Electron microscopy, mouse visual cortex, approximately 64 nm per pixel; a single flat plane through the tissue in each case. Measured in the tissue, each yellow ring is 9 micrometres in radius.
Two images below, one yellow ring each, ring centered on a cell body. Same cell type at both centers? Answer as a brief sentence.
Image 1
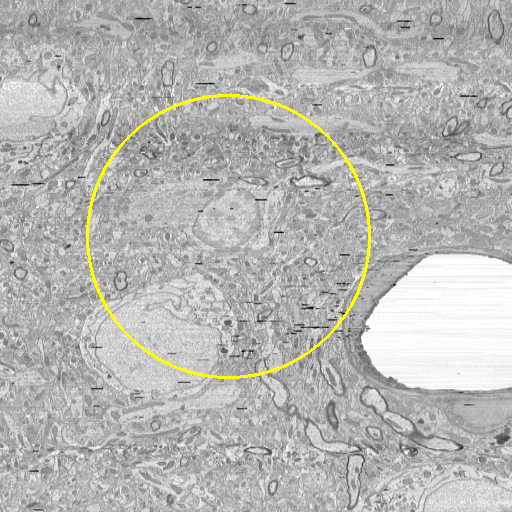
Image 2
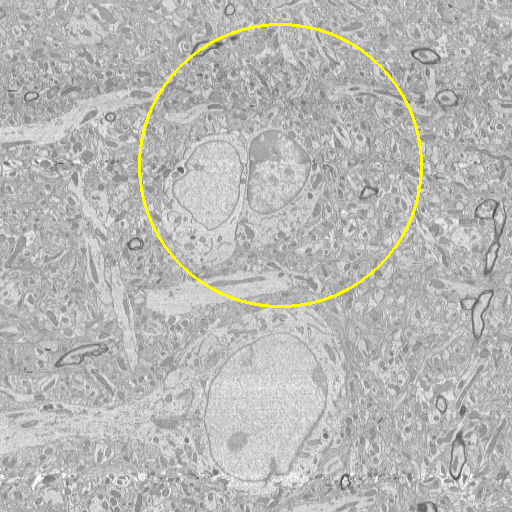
Yes, both cells are of the same type.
